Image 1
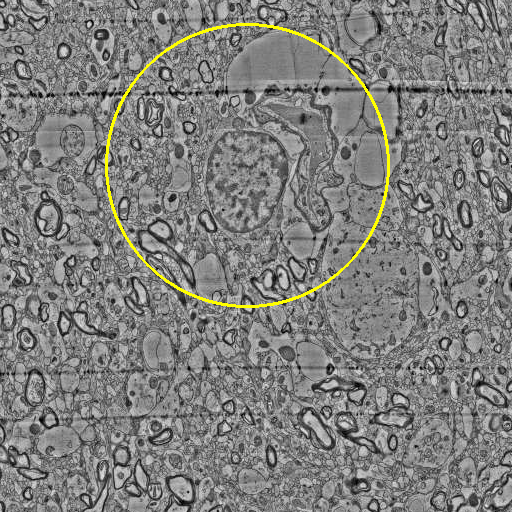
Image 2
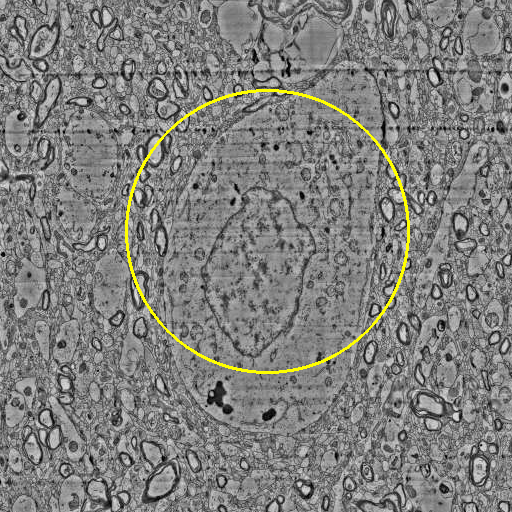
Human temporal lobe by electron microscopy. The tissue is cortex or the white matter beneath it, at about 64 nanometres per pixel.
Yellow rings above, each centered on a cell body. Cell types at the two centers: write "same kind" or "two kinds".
two kinds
